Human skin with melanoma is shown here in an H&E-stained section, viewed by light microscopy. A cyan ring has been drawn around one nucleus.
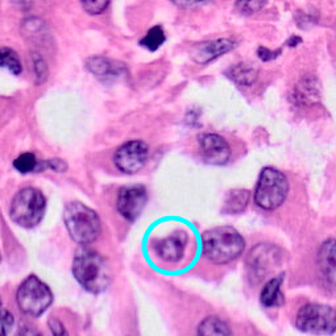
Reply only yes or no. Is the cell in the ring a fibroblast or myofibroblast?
no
